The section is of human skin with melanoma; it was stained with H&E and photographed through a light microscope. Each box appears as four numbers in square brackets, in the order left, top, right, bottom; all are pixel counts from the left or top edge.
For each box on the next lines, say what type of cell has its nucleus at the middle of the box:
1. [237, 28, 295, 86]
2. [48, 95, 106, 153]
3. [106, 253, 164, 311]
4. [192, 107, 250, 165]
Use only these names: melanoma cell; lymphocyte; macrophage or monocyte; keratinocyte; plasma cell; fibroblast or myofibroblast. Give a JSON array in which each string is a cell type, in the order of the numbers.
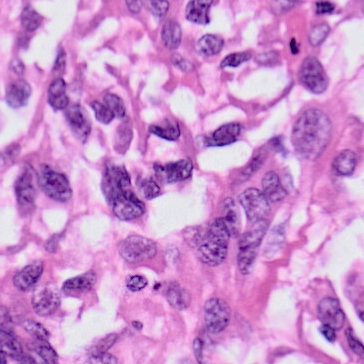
["melanoma cell", "melanoma cell", "lymphocyte", "melanoma cell"]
